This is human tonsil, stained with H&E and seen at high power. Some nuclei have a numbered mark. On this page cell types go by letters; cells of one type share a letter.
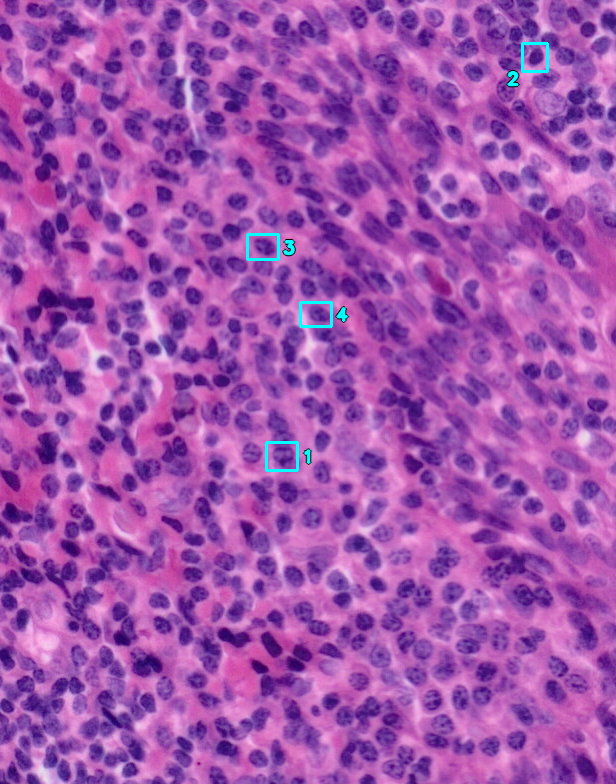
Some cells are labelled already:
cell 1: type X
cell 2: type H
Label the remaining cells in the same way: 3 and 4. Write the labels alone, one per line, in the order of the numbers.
type X
type X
